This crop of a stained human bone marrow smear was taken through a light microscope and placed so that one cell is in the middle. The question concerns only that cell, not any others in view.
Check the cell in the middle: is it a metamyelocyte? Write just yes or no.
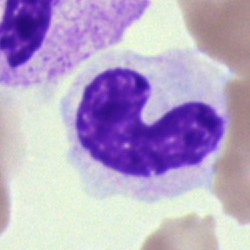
no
